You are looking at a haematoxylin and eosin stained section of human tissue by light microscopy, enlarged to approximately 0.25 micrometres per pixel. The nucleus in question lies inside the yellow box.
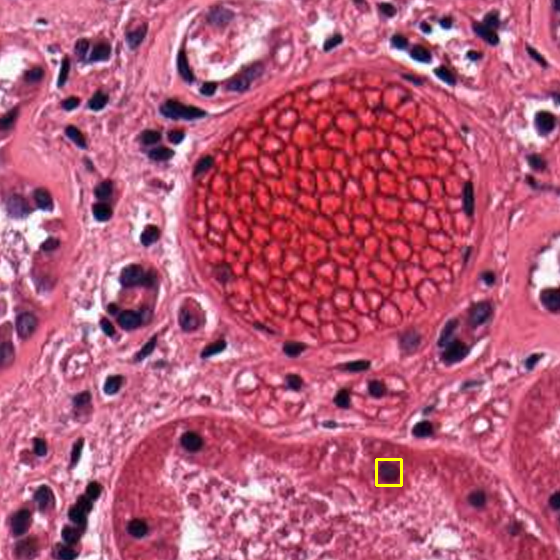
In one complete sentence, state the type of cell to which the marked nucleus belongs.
The marked nucleus is contained in a proximal tubule cell.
